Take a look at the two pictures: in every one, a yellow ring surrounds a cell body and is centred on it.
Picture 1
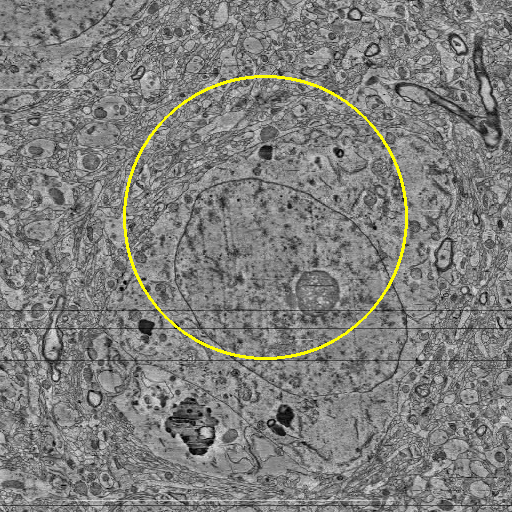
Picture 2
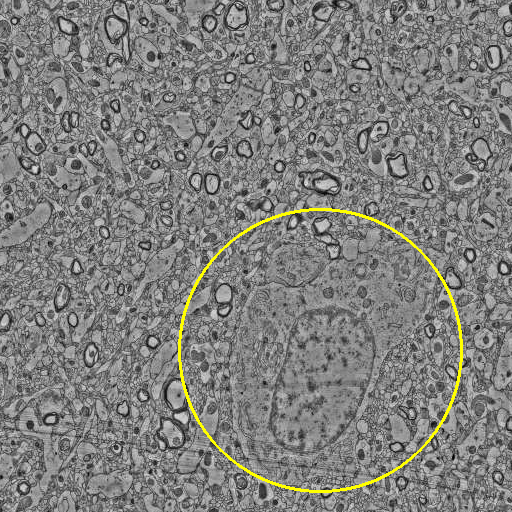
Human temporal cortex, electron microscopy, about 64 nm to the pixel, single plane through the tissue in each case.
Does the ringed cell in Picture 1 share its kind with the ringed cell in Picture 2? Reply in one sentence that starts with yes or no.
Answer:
No, the two centred cells, one per picture, are of two kinds.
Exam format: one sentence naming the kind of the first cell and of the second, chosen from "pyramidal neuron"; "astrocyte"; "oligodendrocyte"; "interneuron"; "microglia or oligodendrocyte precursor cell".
The first picture's cell is a pyramidal neuron, and the second picture's cell is an interneuron.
